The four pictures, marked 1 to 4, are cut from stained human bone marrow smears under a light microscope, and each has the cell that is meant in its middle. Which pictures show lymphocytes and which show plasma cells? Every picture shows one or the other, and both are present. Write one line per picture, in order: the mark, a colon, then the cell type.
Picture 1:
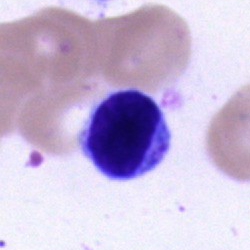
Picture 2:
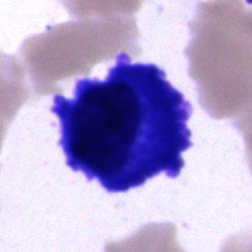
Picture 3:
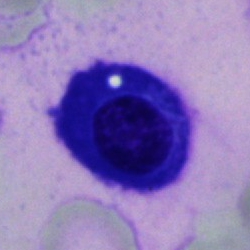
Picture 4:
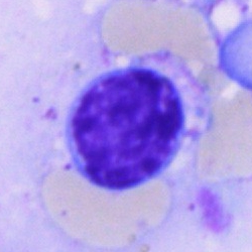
1: lymphocyte
2: plasma cell
3: plasma cell
4: lymphocyte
